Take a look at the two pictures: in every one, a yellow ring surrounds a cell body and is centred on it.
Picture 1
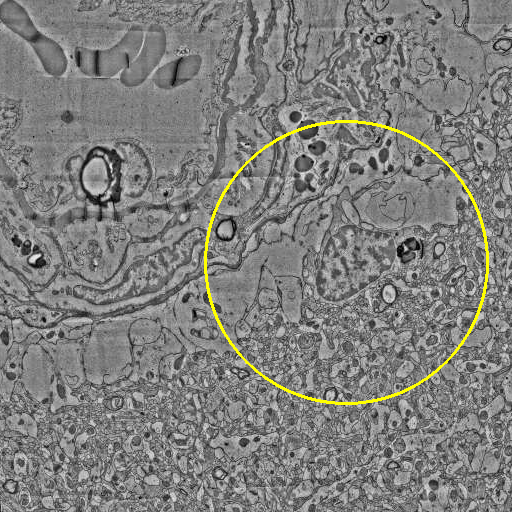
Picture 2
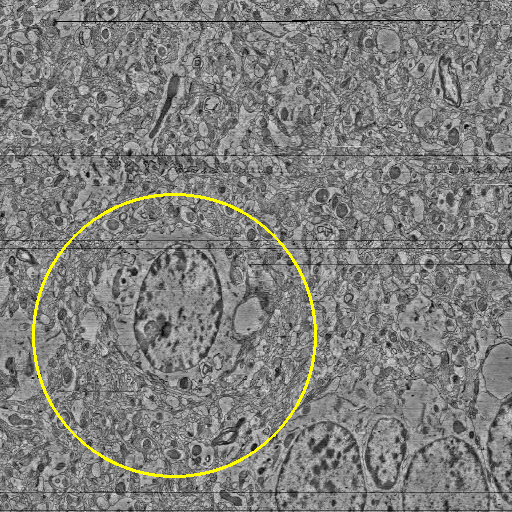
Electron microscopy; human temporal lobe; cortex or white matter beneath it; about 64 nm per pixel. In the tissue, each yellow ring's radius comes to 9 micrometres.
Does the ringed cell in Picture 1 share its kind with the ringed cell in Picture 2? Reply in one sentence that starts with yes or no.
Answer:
No, the two centred cells, one per picture, are of two kinds.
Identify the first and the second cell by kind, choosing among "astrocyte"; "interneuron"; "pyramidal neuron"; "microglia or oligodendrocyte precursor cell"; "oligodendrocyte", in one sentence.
The one in the first picture is a microglial cell or oligodendrocyte precursor cell, while the one in the second is an astrocyte.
